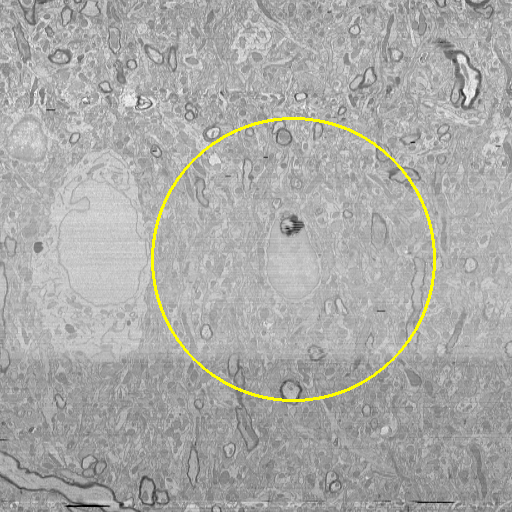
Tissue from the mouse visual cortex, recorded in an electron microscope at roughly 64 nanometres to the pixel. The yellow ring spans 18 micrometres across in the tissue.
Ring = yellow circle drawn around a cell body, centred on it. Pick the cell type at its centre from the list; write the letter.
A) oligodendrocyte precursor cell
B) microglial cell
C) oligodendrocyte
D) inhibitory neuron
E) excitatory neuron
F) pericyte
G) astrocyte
B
